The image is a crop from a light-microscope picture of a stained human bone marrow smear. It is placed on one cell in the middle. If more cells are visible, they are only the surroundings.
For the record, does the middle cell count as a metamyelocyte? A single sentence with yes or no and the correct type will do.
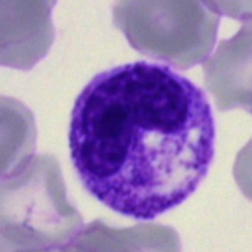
Yes, in this crop the cell in the middle is a metamyelocyte.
